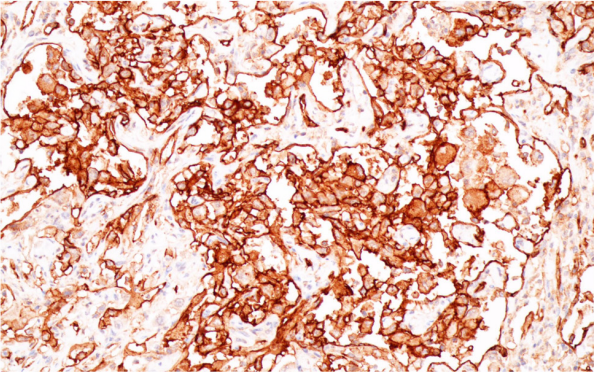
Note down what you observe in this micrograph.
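Sheets of rounded and polygonal tumor cells are outlined by a strong brown stain along their membranes, with paler brown in some cytoplasm, against a blue counterstain. The stained cells line and surround irregular, anastomosing open spaces separated by thin strands of unstained stroma.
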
